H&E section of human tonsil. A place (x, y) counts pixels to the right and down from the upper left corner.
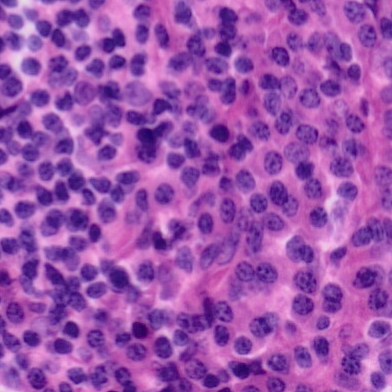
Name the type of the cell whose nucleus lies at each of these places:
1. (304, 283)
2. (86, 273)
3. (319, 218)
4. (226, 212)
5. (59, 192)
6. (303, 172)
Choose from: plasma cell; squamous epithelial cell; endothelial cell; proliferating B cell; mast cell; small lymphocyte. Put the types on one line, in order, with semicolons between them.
plasma cell; small lymphocyte; plasma cell; plasma cell; small lymphocyte; plasma cell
